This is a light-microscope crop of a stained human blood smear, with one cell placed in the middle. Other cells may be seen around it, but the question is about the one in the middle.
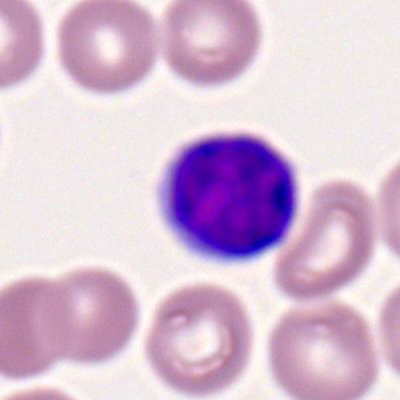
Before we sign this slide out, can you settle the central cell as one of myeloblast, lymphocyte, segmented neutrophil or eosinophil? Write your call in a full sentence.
To answer, the cell in the center of the crop is a lymphocyte.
